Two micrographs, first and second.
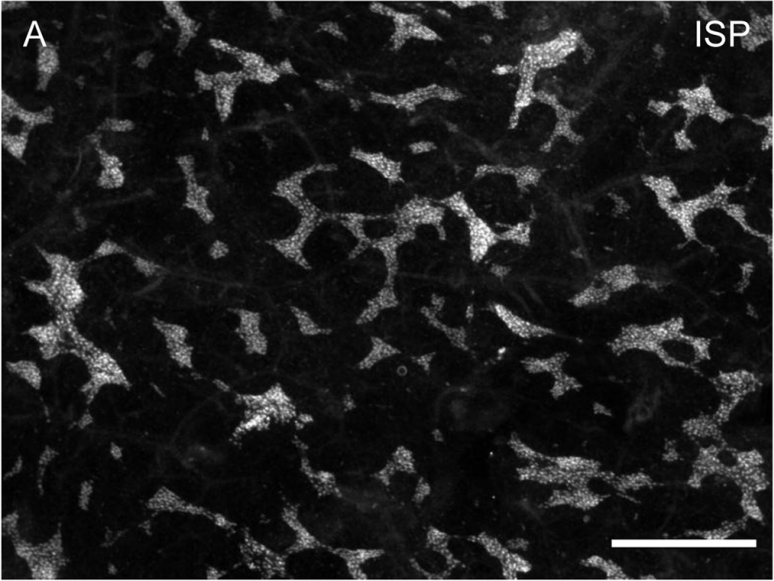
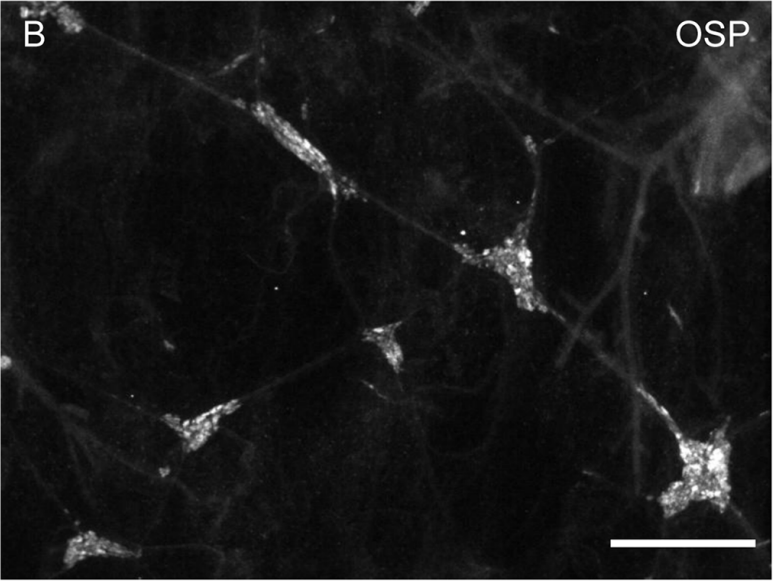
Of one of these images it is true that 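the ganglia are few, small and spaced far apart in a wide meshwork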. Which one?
the second image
